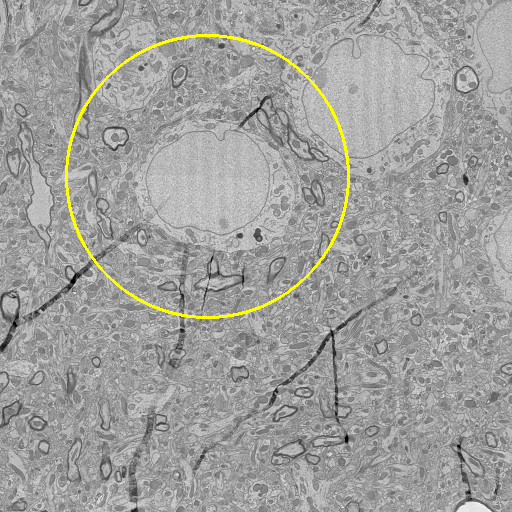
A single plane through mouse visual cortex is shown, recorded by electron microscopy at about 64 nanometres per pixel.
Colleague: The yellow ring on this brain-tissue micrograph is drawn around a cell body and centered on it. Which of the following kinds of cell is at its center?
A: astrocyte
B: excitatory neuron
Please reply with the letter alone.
B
